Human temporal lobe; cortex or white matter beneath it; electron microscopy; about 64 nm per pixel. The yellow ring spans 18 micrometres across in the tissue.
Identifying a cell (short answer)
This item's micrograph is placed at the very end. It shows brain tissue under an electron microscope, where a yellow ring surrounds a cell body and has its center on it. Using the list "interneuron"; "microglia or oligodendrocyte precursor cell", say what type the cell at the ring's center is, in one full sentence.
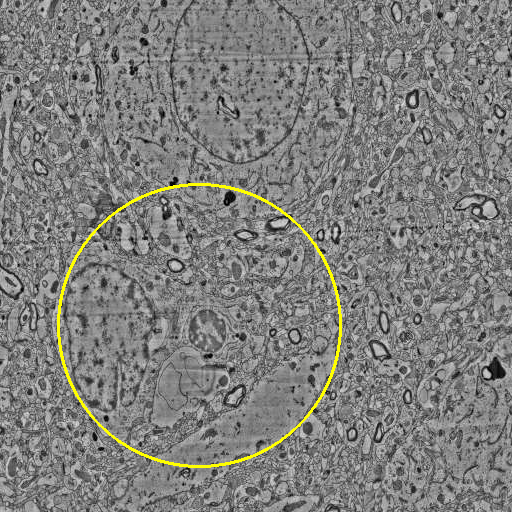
This picture shows a microglial cell or oligodendrocyte precursor cell at the center of the yellow ring drawn on it.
